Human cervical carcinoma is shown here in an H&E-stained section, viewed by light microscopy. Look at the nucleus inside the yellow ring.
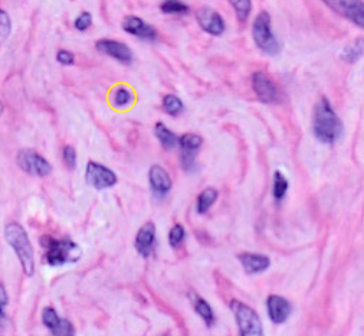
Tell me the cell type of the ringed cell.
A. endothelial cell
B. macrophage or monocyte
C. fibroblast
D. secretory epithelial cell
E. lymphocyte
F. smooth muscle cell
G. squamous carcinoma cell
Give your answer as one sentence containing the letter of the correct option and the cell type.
Option F gets it right, as the ringed cell is a smooth muscle cell.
